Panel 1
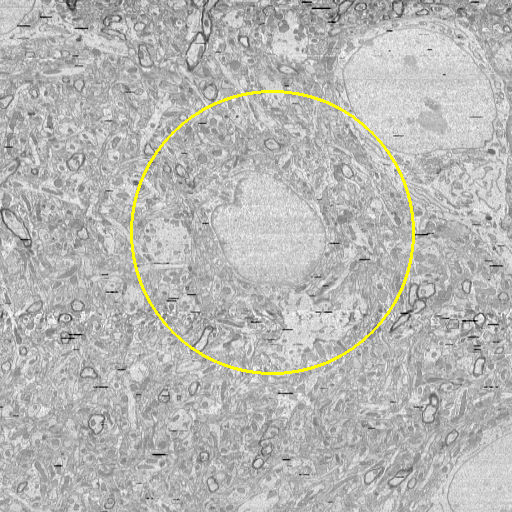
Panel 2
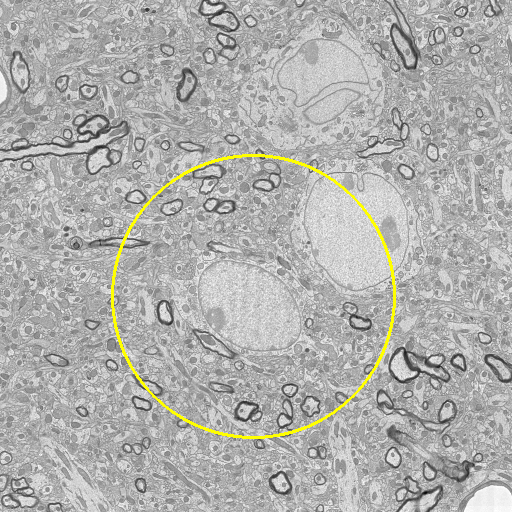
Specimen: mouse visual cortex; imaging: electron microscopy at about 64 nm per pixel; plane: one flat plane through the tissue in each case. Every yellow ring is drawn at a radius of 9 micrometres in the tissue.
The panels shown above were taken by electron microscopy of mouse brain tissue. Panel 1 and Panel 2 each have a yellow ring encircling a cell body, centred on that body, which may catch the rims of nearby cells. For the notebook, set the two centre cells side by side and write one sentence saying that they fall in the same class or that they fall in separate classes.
The centred cells of Panel 1 and Panel 2 fall in the same class.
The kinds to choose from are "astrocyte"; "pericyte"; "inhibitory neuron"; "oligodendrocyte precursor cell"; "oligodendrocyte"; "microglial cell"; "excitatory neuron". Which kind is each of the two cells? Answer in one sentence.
Each cell, in the first picture and the second, is an astrocyte.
